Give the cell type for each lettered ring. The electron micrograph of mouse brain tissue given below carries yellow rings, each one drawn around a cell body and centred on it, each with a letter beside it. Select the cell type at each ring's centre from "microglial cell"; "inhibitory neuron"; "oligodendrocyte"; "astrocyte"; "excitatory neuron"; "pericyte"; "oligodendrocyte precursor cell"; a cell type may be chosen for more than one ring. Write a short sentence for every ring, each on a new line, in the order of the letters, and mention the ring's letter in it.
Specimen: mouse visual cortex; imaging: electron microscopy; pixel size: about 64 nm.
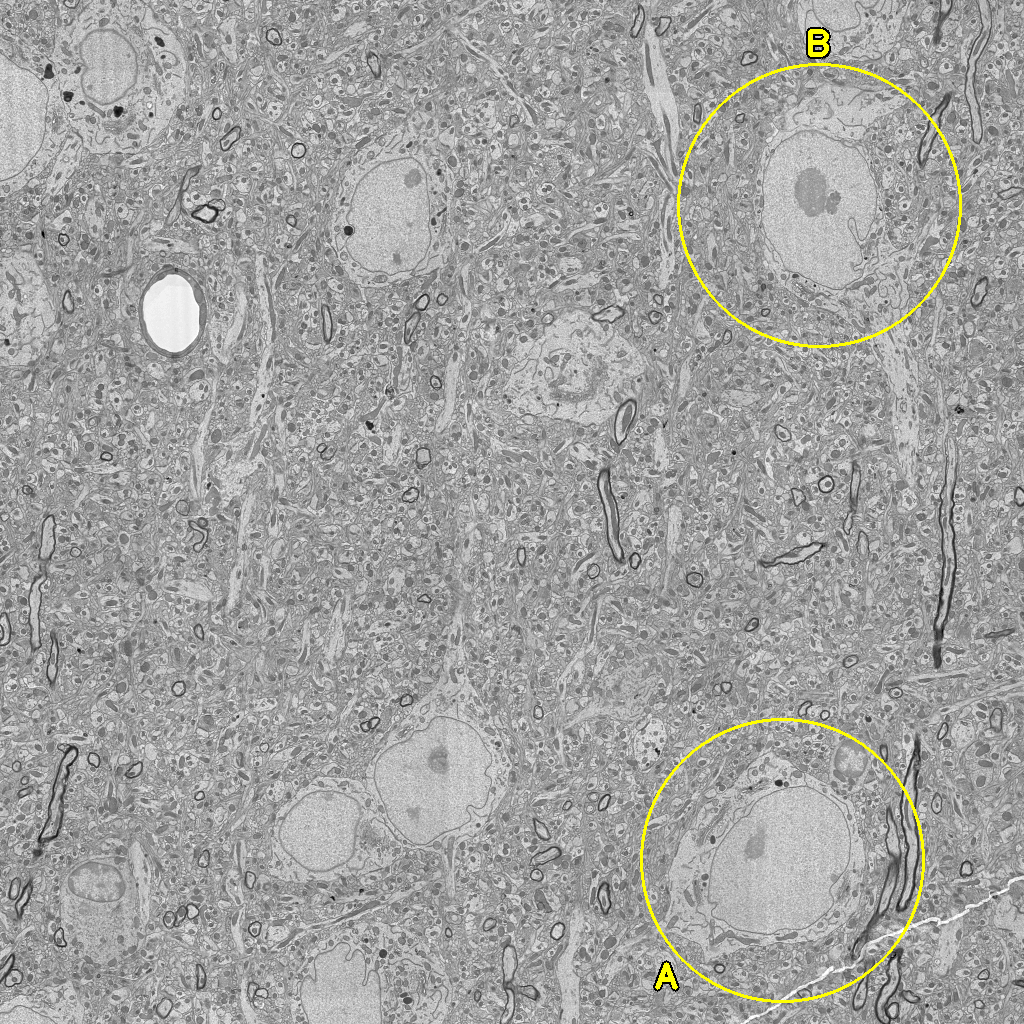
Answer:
The cell type for ring A is an excitatory neuron.
The cell type for ring B is an inhibitory neuron.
